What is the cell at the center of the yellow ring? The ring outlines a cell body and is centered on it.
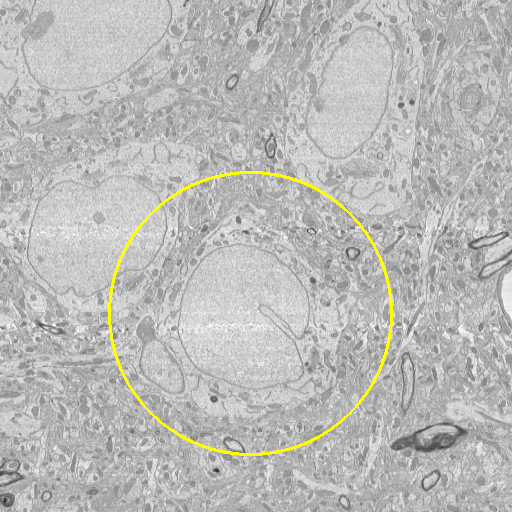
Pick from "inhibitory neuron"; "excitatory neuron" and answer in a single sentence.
The yellow ring is centered on an excitatory neuron.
